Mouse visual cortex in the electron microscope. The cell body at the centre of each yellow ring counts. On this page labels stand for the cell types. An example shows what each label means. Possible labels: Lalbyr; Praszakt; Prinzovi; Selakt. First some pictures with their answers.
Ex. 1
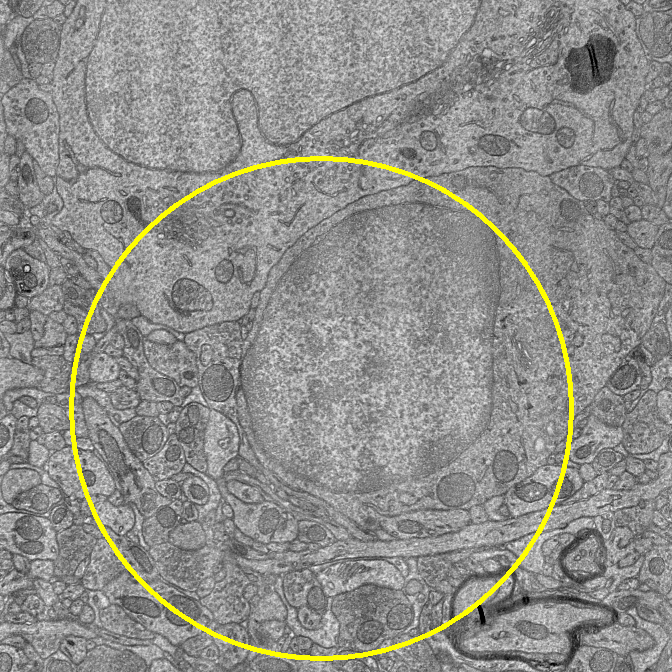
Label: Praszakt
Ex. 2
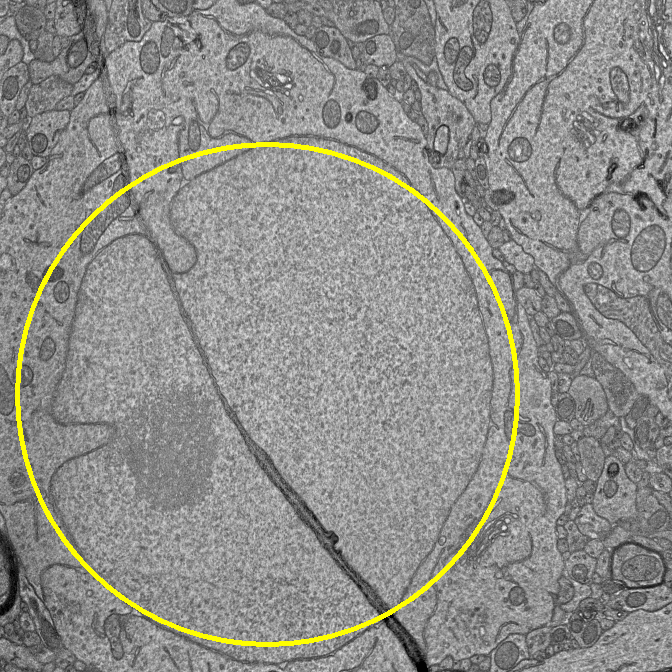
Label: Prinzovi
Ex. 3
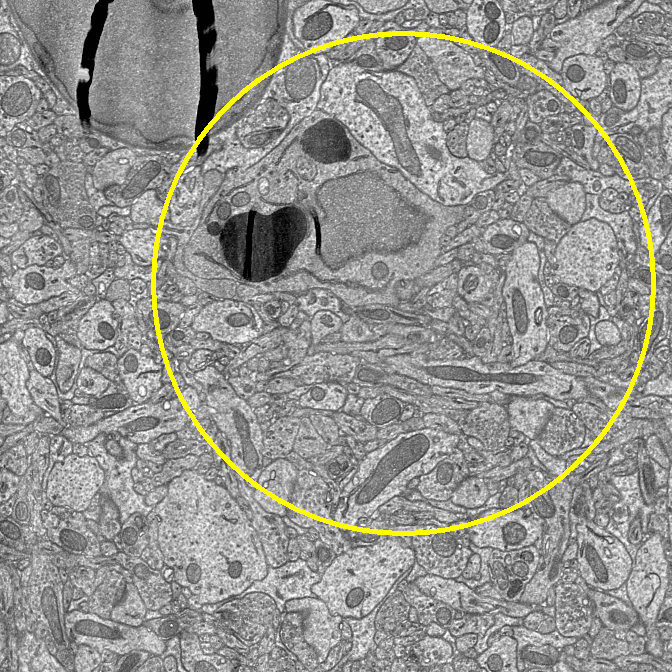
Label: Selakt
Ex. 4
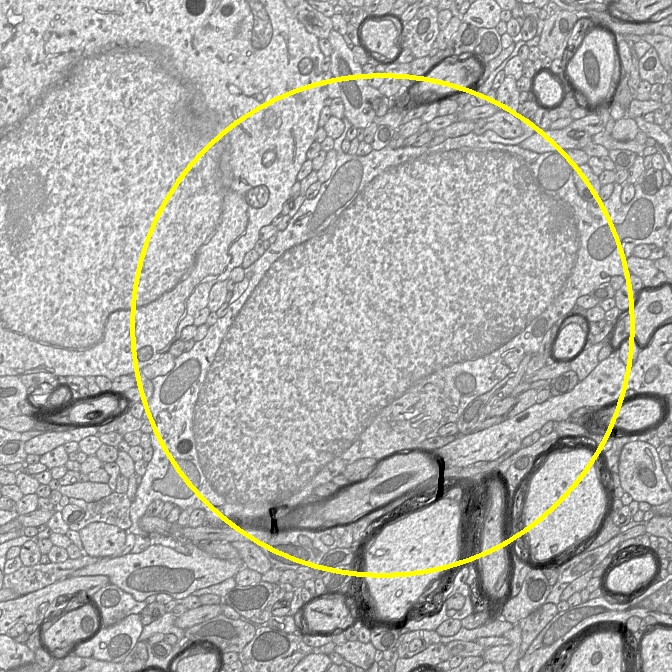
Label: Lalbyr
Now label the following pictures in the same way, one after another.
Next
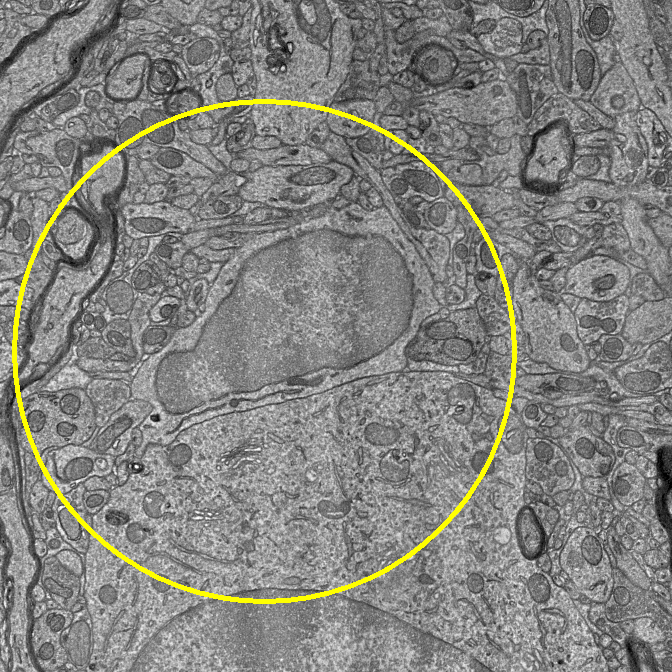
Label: Selakt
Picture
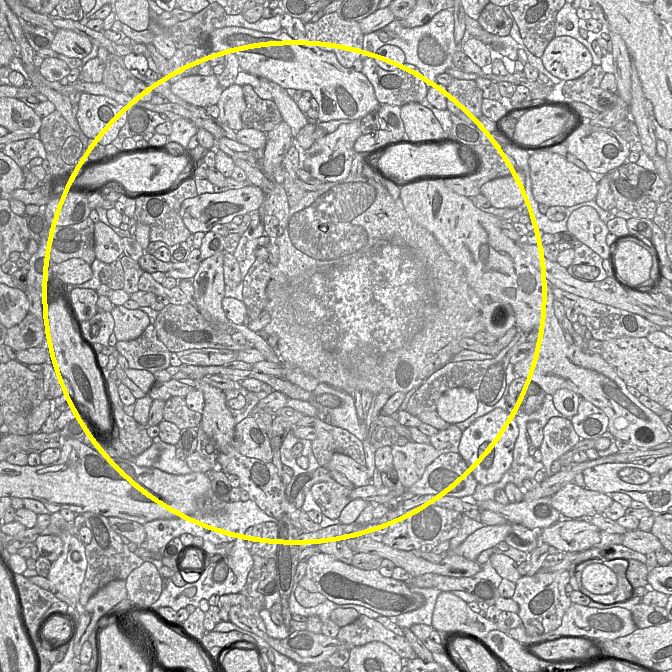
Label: Praszakt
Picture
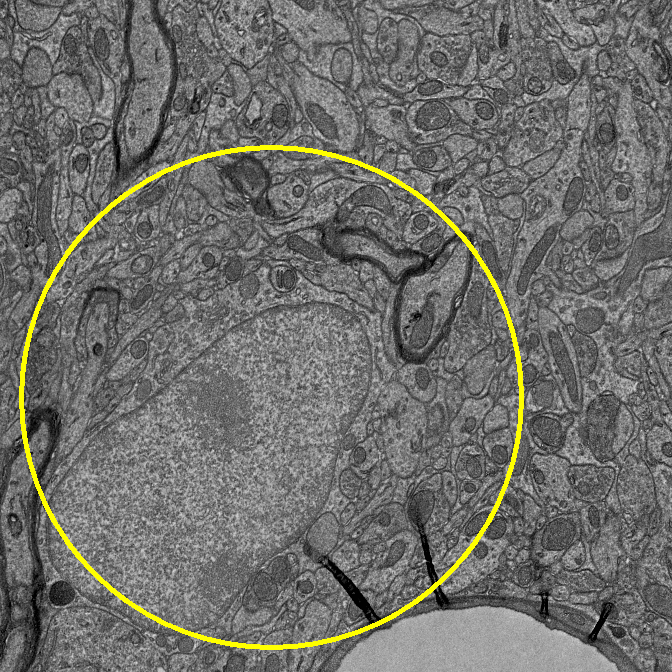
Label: Lalbyr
